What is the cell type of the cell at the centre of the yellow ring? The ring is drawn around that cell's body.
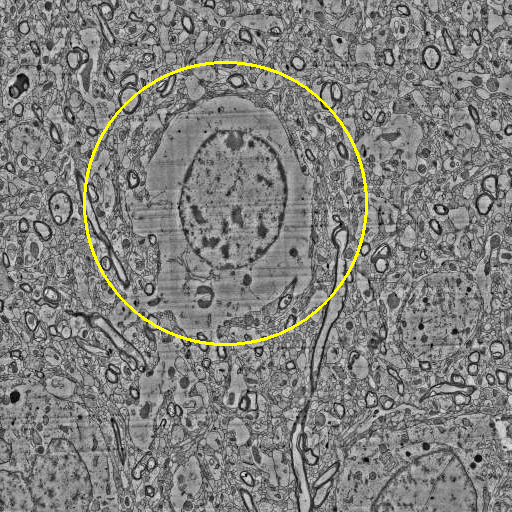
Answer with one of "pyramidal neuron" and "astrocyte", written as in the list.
astrocyte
